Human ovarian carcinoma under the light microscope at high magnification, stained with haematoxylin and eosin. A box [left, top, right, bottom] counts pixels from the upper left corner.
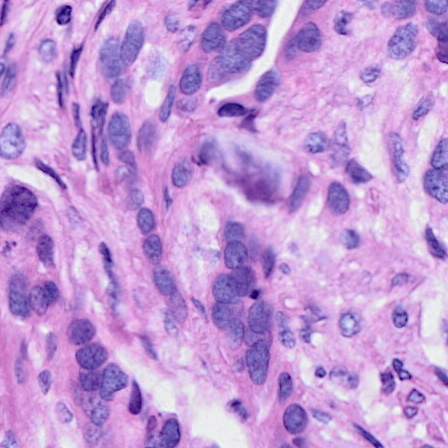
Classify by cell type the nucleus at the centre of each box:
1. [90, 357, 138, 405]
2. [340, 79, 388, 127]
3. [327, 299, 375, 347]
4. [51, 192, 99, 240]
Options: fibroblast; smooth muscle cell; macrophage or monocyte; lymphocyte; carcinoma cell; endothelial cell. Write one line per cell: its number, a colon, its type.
1: carcinoma cell
2: fibroblast
3: fibroblast
4: fibroblast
